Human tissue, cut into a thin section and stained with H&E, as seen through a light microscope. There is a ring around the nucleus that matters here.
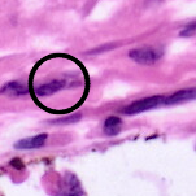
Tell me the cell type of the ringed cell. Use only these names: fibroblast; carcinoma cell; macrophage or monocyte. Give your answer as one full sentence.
In terms of identity, the ringed cell is a fibroblast.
